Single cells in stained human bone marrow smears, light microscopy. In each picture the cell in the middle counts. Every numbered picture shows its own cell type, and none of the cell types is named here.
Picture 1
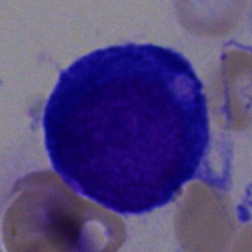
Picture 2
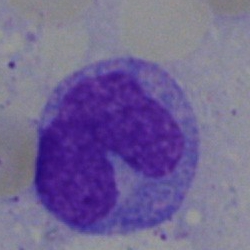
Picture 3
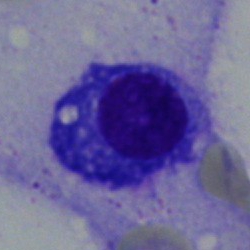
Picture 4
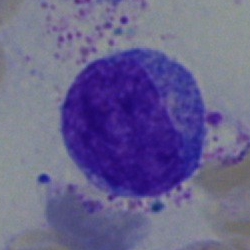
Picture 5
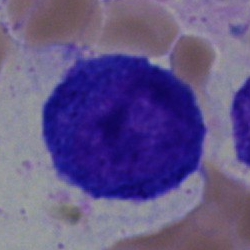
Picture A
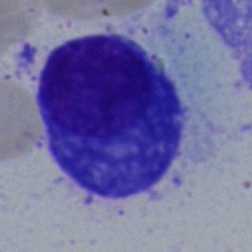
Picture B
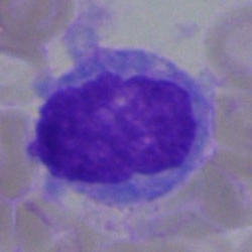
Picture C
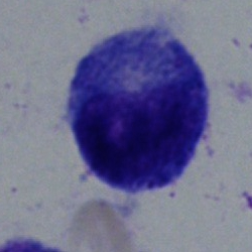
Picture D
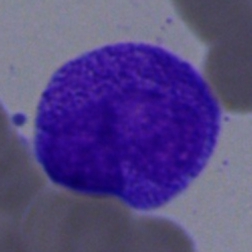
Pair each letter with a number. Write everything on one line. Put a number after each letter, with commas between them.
A 3, B 5, C 5, D 5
